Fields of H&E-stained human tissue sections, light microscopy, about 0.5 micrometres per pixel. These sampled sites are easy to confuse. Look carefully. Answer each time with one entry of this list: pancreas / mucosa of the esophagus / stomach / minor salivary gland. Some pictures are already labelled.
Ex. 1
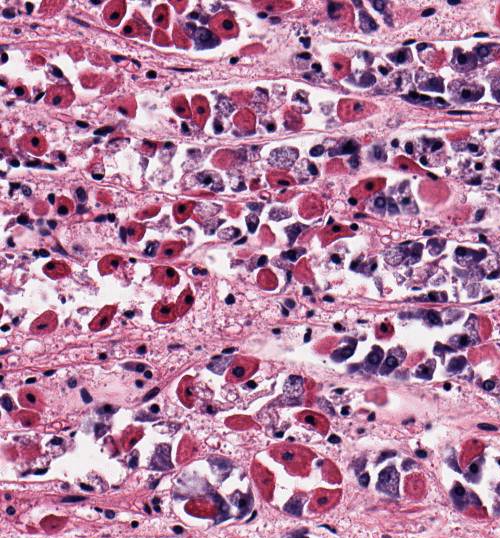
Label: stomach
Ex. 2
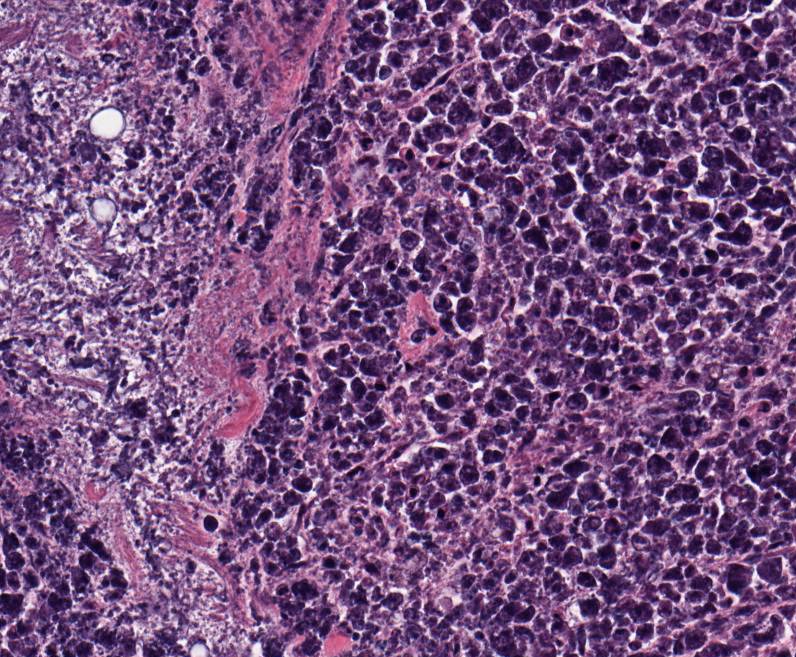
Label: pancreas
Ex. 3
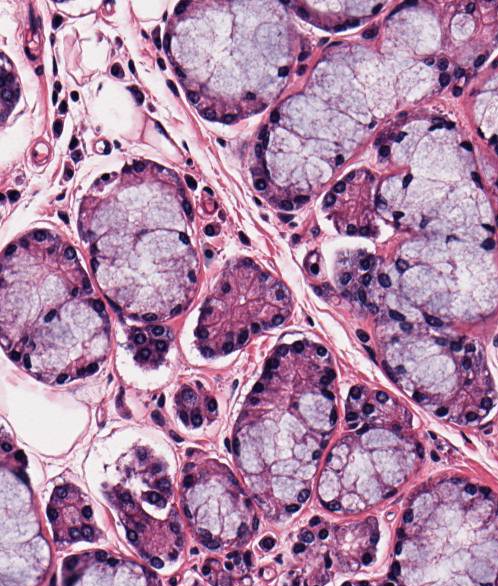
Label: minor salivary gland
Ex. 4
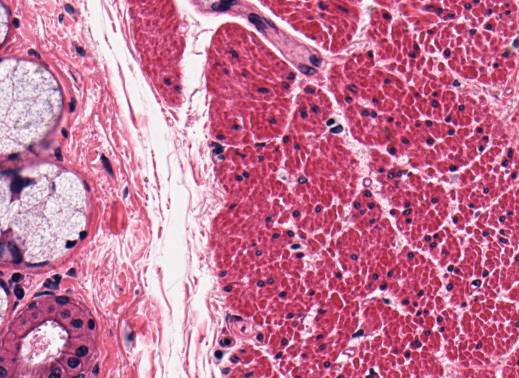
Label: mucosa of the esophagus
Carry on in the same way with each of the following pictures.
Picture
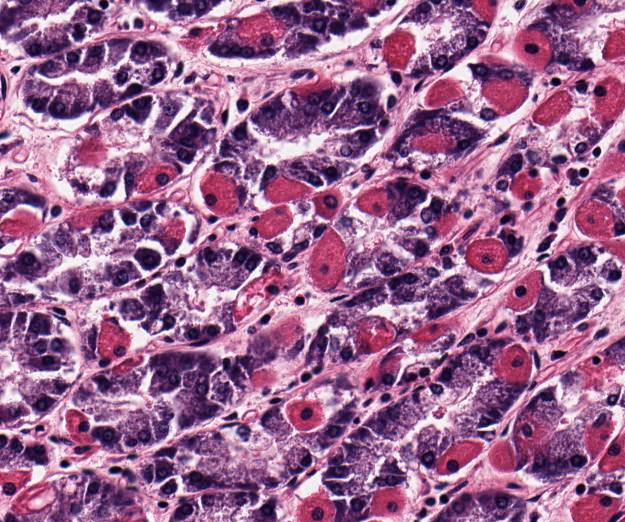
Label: stomach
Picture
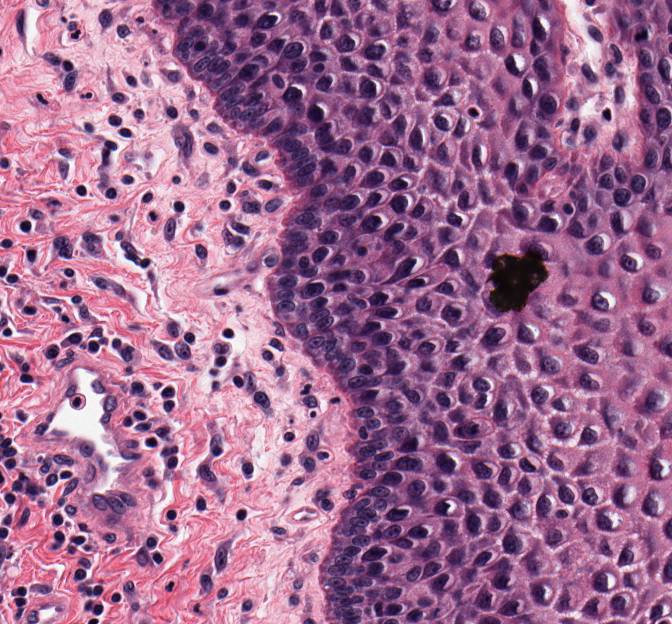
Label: mucosa of the esophagus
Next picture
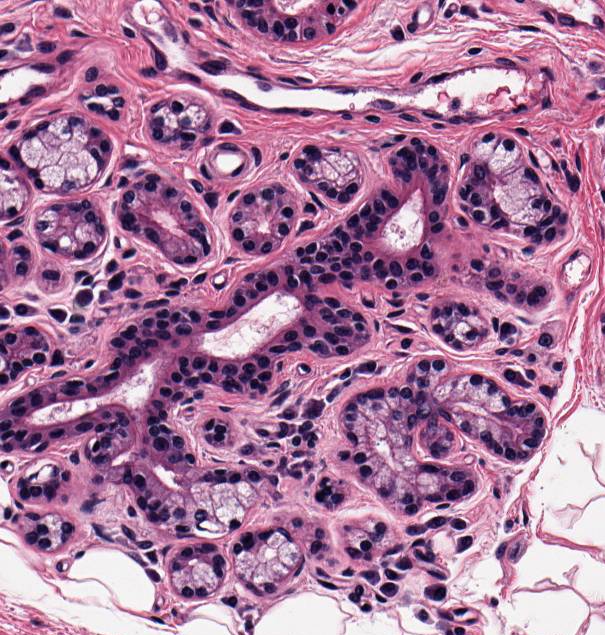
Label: minor salivary gland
